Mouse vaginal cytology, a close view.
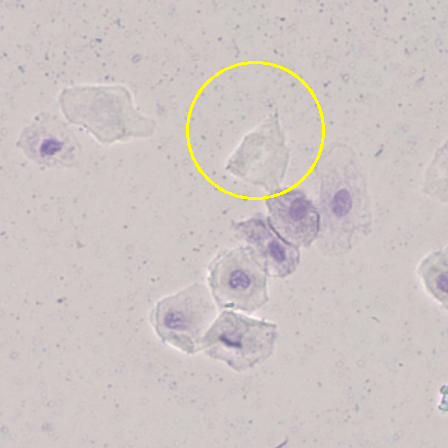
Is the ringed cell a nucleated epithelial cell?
No, it is a cornified epithelial cell.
